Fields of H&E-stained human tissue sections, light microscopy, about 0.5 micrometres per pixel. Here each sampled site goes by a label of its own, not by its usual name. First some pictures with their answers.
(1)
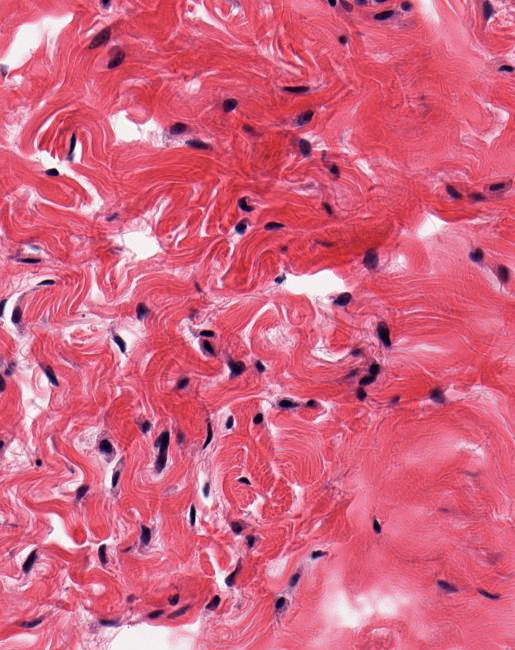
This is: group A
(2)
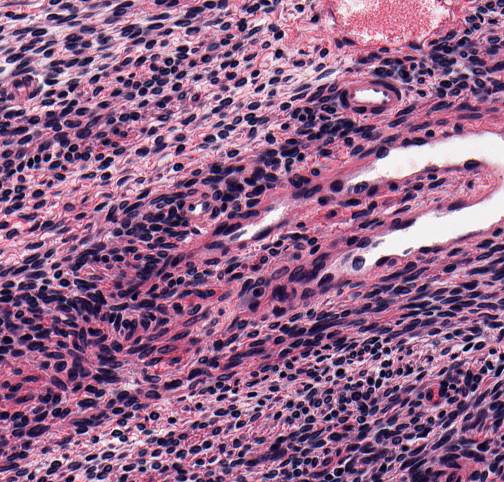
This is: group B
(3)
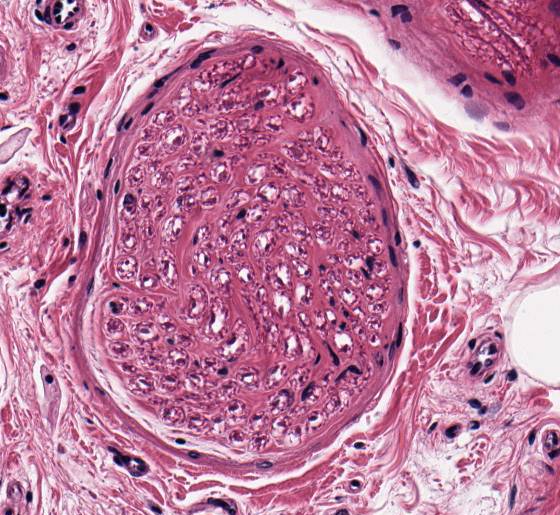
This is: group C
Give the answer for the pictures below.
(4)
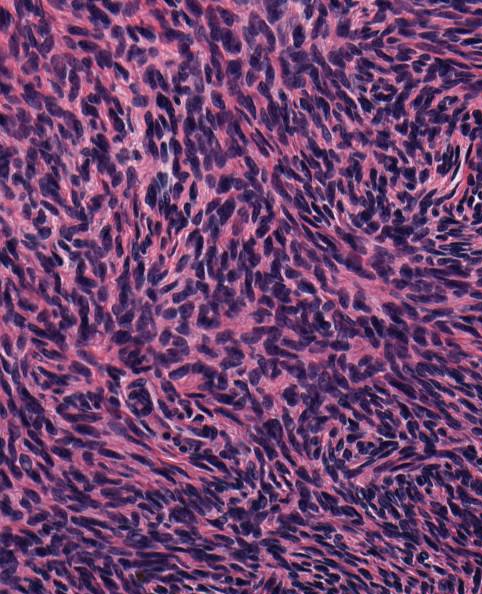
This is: group B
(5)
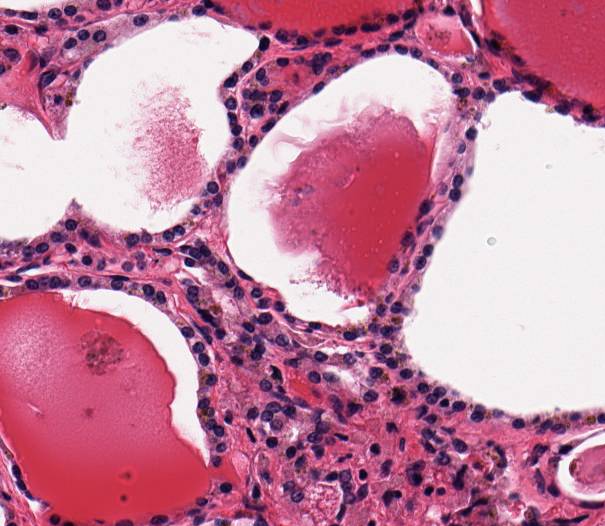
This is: group A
